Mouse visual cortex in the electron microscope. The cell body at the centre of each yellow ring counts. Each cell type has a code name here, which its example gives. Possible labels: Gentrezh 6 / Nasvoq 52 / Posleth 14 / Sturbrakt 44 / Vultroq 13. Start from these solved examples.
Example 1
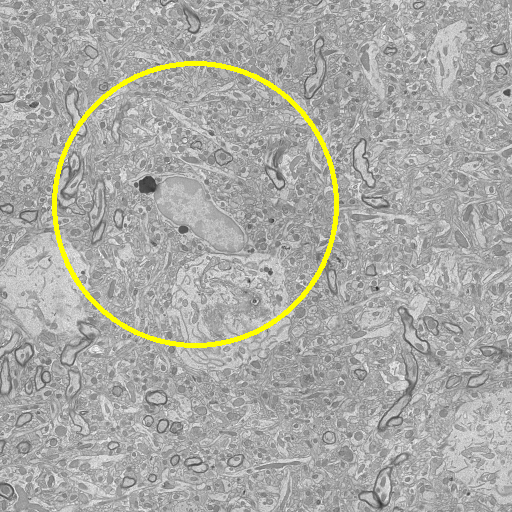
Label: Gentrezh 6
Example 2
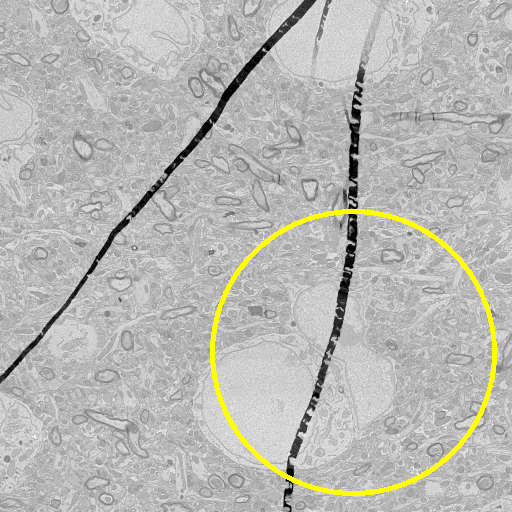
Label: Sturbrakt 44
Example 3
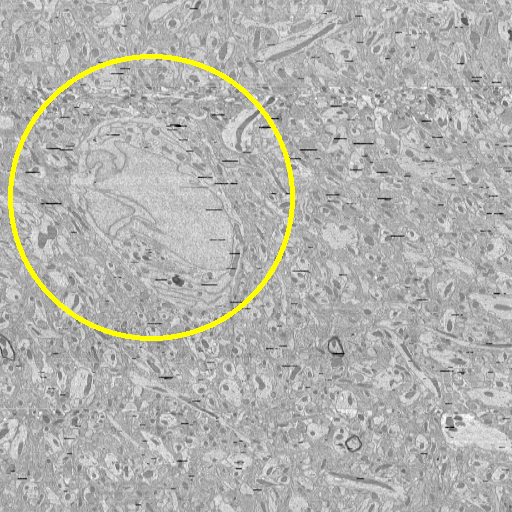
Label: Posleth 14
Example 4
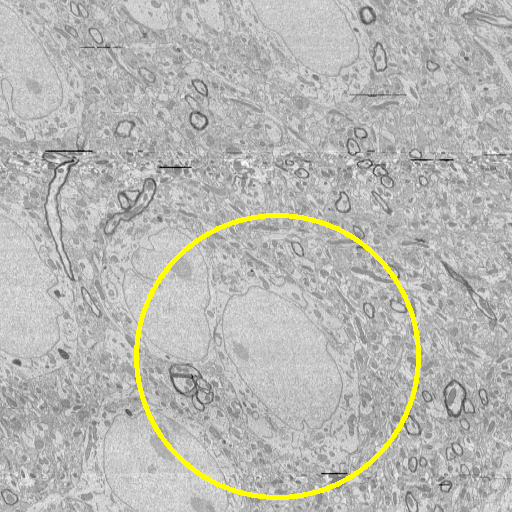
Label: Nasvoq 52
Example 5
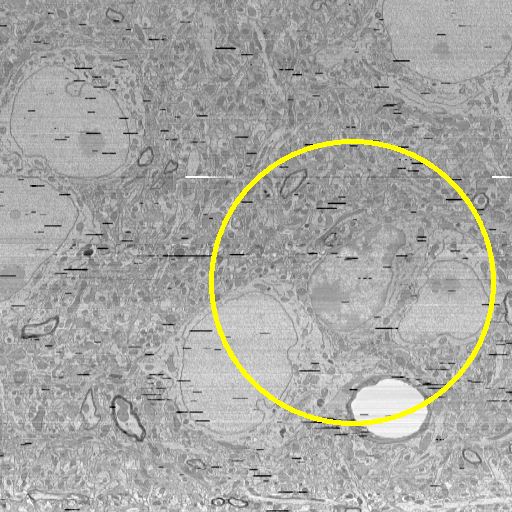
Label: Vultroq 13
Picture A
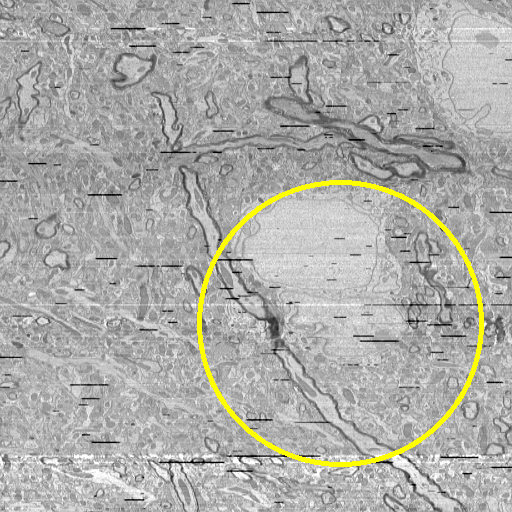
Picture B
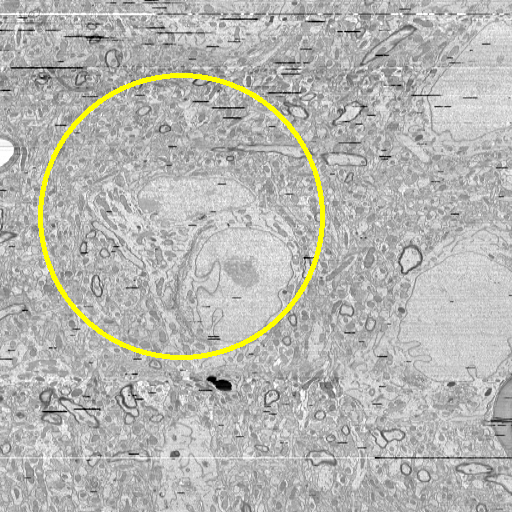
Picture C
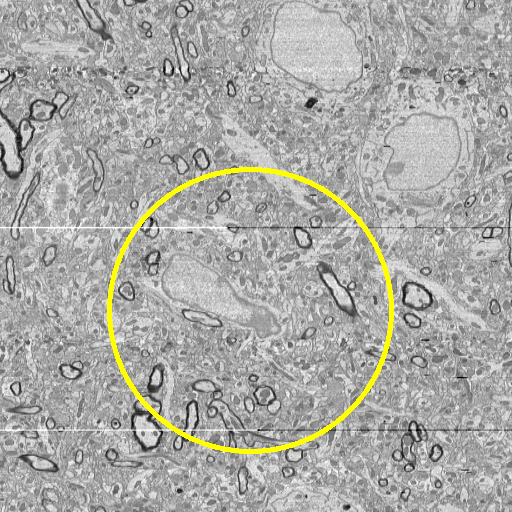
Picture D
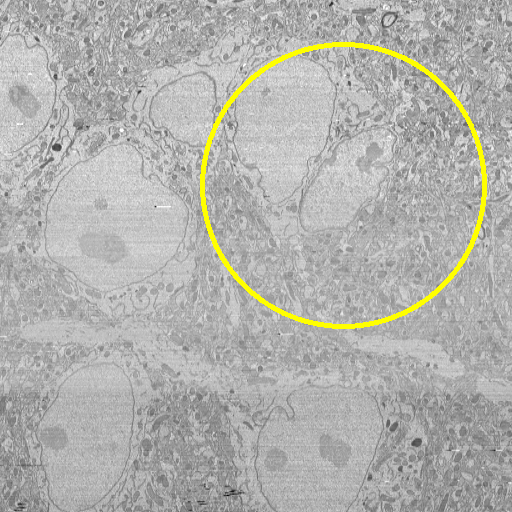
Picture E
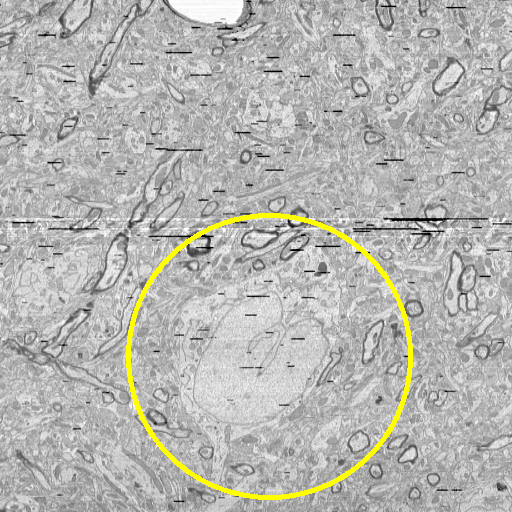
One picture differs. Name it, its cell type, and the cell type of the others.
Picture E: Posleth 14. All others: Sturbrakt 44.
